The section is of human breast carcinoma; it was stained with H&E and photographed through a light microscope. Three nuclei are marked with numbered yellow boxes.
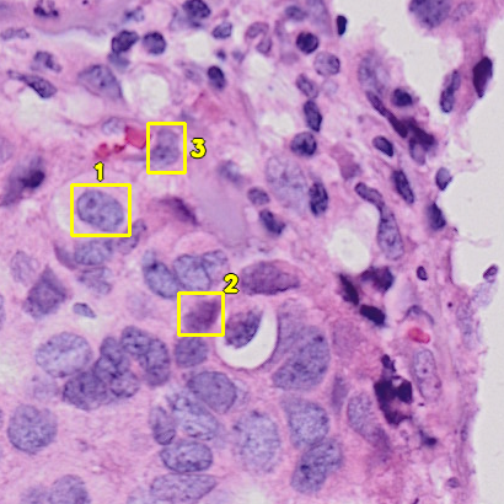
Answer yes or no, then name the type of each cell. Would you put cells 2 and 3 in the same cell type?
No, cell 2 is a carcinoma cell, whereas cell 3, for its part, is an endothelial cell.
